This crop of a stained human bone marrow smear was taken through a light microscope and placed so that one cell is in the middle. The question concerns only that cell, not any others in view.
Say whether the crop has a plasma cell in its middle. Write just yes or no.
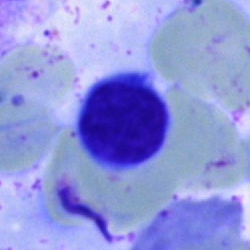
no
